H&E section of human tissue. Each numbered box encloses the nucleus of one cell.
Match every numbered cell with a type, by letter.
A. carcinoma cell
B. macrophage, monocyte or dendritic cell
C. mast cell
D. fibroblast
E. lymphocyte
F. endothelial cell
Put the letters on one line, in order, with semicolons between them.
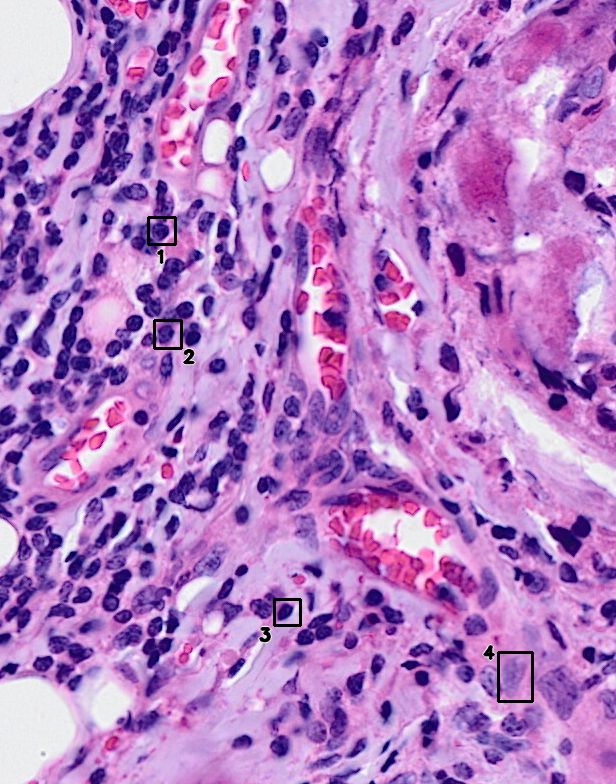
E; E; E; F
